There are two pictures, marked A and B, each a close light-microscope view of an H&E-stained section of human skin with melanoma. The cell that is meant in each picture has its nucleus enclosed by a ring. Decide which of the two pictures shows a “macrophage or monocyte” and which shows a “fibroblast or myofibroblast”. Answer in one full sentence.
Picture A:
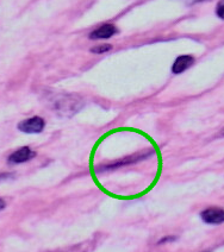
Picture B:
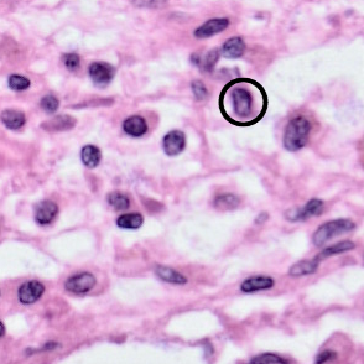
Picture A is of a “fibroblast or myofibroblast”, and picture B is of a “macrophage or monocyte”.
